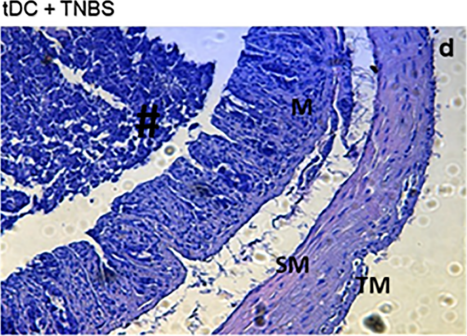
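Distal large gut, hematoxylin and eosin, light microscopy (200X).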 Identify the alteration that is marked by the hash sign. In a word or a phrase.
Detached mucosal tissue debris.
